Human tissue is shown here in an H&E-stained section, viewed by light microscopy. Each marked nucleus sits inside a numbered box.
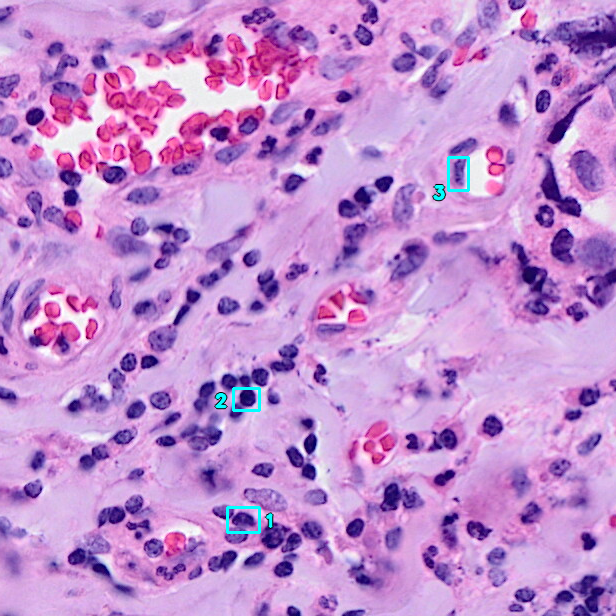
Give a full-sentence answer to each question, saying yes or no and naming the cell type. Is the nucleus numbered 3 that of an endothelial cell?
Yes, the cell whose number is 3 is an endothelial cell.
